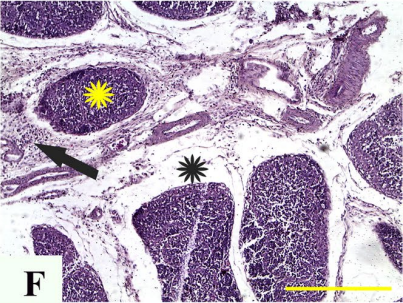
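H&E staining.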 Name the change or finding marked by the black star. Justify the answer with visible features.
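The black star sits in pale, loose tissue between follicles. The tissue there is sparse and faintly stained.
Hence: interfollicular edema.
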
